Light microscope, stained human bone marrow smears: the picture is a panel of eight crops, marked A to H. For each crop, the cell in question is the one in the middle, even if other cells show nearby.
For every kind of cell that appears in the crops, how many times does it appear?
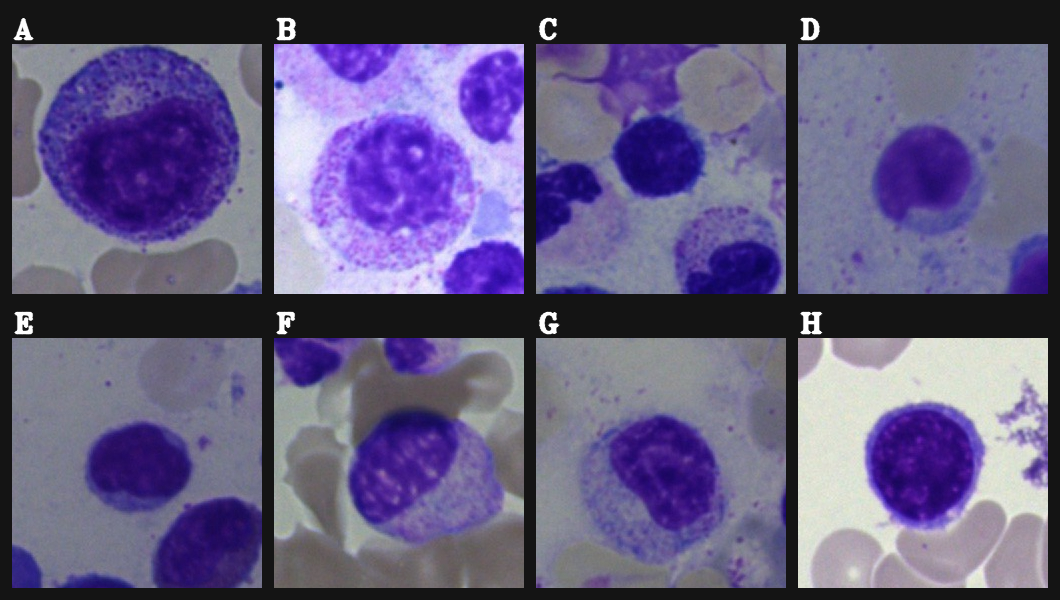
myelocyte: 4
lymphocyte: 4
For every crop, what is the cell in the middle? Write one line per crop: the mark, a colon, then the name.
A: myelocyte
B: myelocyte
C: lymphocyte
D: lymphocyte
E: lymphocyte
F: myelocyte
G: myelocyte
H: lymphocyte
